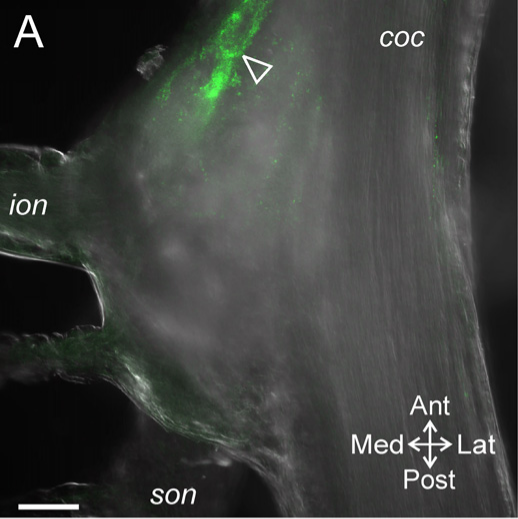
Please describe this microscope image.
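A grey, finely striated nervous tissue is seen in transmitted-light relief, with nerve trunks entering from the left and a long fibrous connective running top to bottom on the right. Near the top left a loose band of green, thread-like and dotted label runs through the tissue, the look of a bundle of labelled axons entering the ganglion.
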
